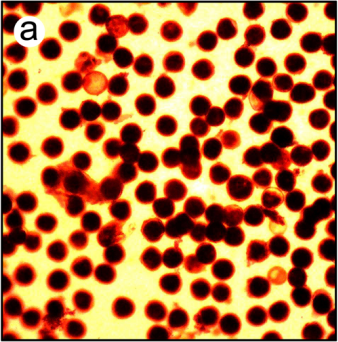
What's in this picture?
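These are pollen grains scattered densely across the field, many touching or overlapping one another. They are round and of roughly even size. The great majority are stained deeply dark brown to black with a reddish border, so that their contents appear solid and no inner structure is visible. Here and there a grain is pale, lightly orange and see-through, with only its wall outlined. Some irregular, orange-stained material and clumped grains lie among them on the light yellow background.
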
